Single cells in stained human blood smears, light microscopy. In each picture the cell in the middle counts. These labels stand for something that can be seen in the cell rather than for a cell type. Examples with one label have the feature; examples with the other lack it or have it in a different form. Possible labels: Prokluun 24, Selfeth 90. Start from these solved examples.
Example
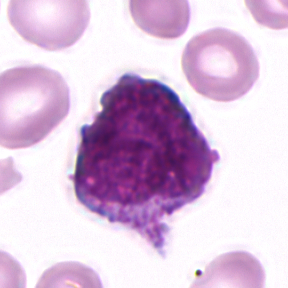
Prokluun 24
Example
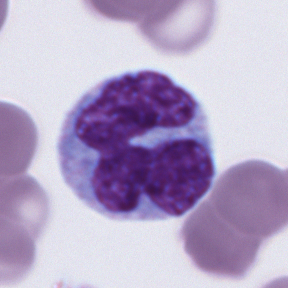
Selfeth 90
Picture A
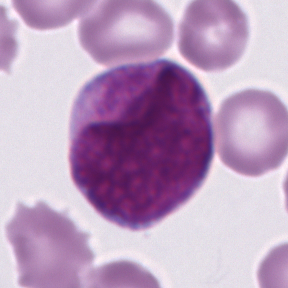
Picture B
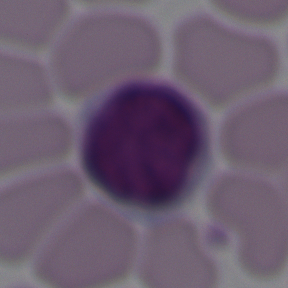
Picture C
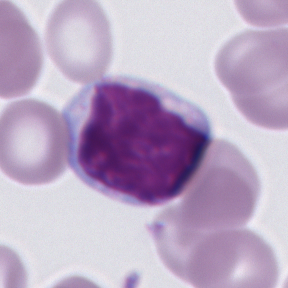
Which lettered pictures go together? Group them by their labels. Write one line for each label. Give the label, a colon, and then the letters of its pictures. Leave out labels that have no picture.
Selfeth 90: A, B, C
